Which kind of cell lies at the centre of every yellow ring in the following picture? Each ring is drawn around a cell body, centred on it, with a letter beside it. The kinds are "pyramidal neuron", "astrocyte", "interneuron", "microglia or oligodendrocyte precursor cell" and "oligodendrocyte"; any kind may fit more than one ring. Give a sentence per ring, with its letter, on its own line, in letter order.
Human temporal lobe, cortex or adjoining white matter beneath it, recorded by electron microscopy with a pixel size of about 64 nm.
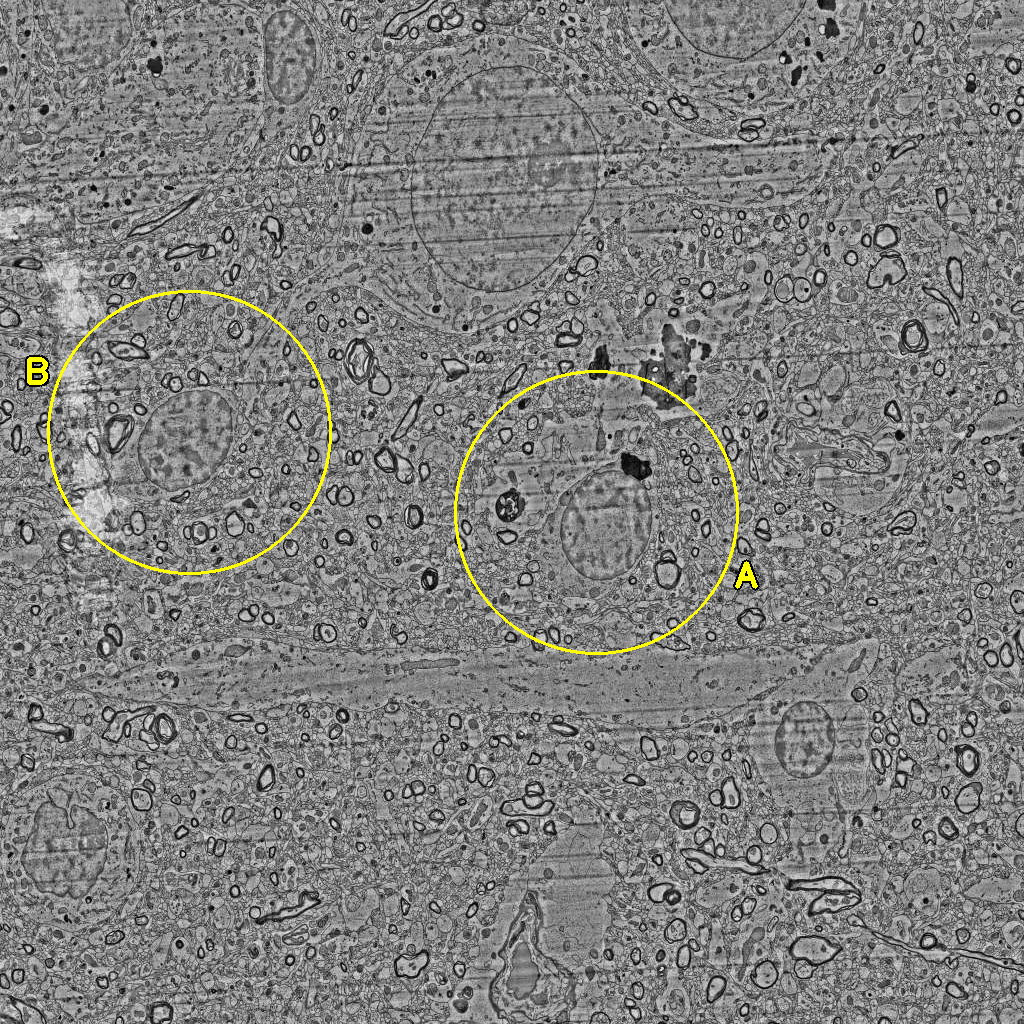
The cell body centred in ring A is that of an oligodendrocyte.
The cell body centred in ring B is that of an oligodendrocyte.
